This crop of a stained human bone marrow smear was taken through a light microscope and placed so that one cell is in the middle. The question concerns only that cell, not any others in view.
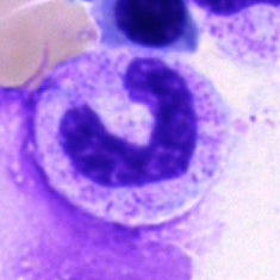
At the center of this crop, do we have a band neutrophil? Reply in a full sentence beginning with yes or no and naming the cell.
Yes, the cell lying in the centre of the crop is identified as a band neutrophil.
